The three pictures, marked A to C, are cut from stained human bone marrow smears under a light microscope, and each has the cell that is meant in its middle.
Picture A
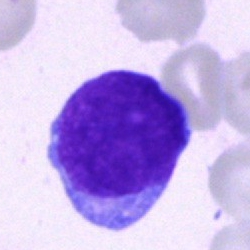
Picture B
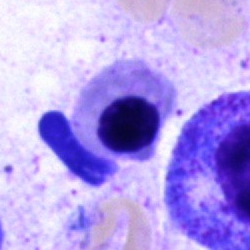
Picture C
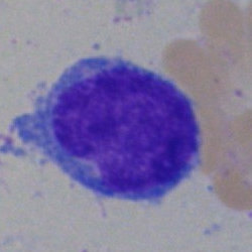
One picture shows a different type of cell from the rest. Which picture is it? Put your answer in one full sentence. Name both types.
Picture B is the odd one out: it shows an erythroblast, while the others show blasts.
